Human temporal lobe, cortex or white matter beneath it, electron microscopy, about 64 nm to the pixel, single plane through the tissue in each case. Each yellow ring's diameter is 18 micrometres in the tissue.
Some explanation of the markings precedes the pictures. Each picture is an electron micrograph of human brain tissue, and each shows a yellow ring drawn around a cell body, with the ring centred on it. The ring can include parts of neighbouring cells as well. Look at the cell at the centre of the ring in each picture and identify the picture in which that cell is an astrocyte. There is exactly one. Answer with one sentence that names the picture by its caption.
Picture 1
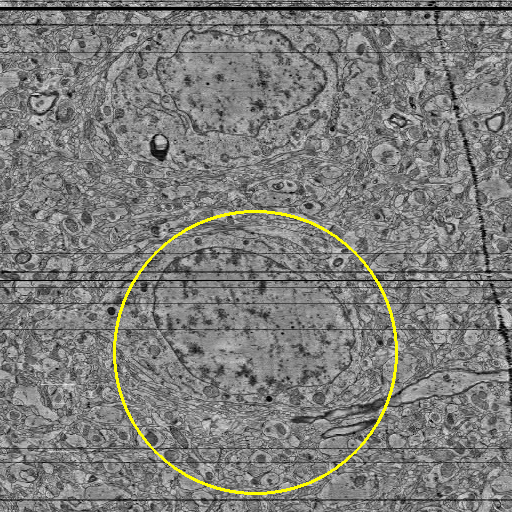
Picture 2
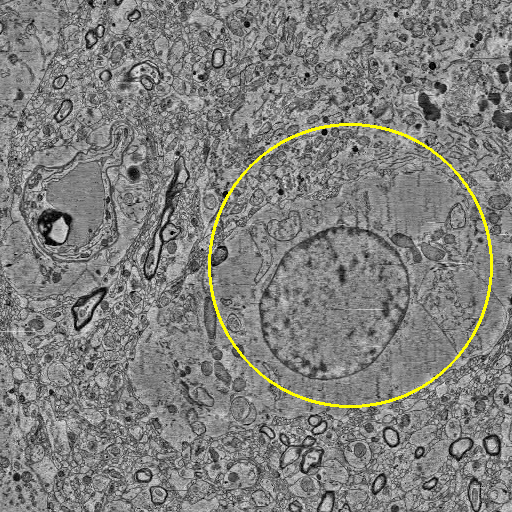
In Picture 2, the cell at the centre of the ring is of that kind.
